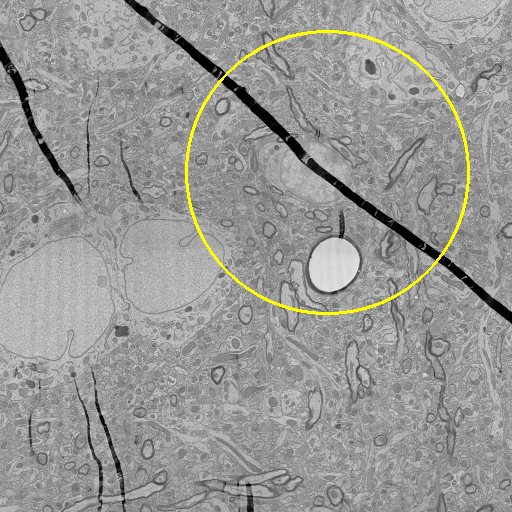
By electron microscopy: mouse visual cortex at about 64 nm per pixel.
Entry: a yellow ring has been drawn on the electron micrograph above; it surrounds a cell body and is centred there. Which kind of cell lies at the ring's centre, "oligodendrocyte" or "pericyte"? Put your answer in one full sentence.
The cell sitting at the ring's centre is an oligodendrocyte in the micrograph above.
